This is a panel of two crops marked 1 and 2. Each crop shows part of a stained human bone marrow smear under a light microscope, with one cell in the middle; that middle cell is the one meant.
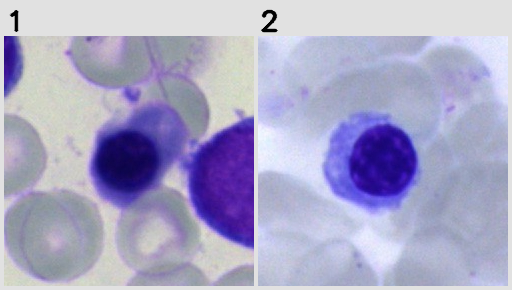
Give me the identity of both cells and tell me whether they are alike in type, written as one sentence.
Yes, the cells centred in the two crops are both erythroblasts.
